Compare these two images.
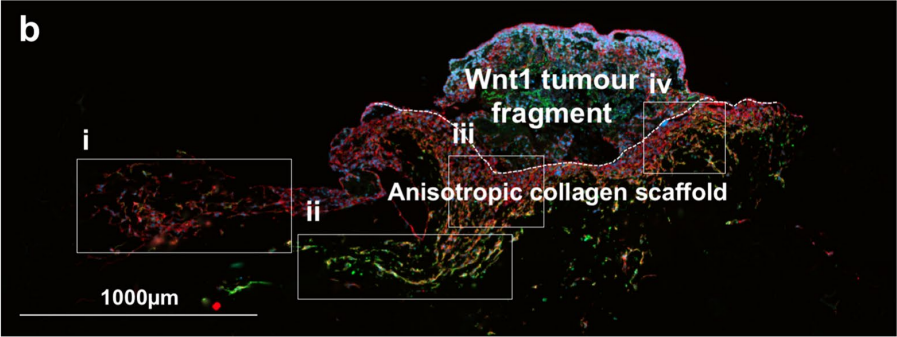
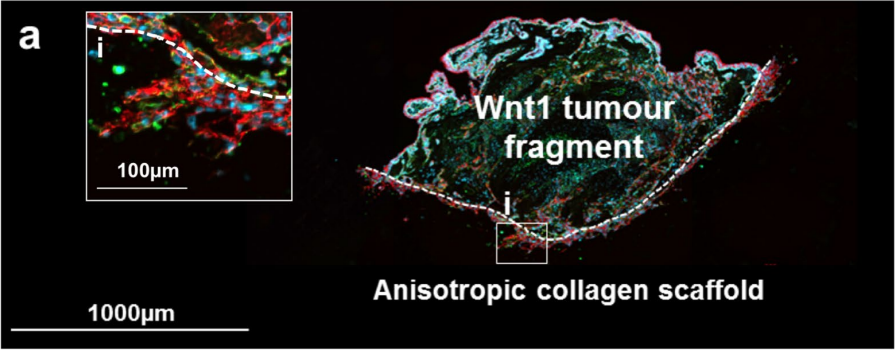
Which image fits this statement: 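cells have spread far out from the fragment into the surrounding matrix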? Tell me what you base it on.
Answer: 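The first image. First image: networks of red and green elongated cells extend far to the left and below the fragment, well away from the dashed line. Second image: stained cells stay close to the dashed border of the fragment, with little beyond it.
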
